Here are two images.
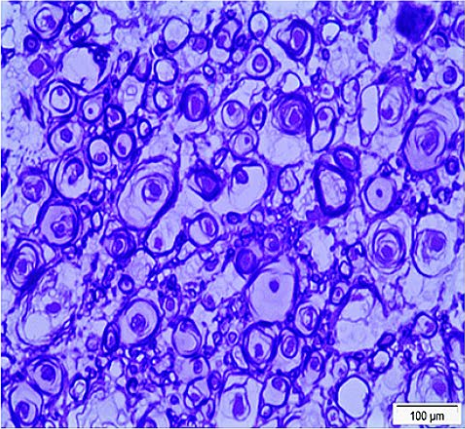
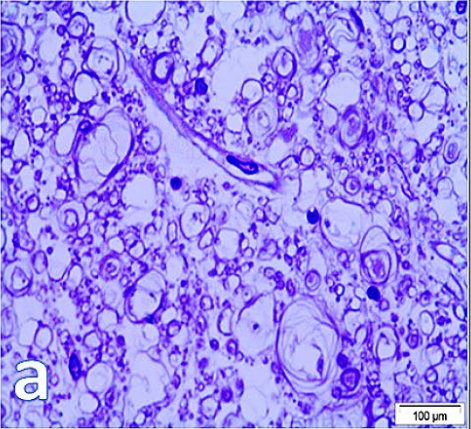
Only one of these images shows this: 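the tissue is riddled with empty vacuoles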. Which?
the second image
